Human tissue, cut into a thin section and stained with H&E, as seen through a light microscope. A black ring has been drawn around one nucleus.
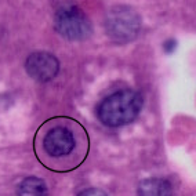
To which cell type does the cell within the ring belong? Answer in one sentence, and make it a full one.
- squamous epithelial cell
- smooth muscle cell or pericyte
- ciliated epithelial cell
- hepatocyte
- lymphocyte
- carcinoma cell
Right, so the cell within the ring is a hepatocyte, to answer that.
